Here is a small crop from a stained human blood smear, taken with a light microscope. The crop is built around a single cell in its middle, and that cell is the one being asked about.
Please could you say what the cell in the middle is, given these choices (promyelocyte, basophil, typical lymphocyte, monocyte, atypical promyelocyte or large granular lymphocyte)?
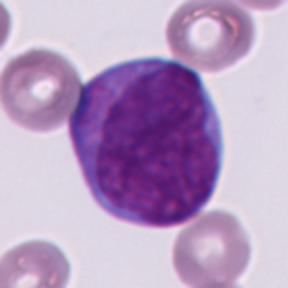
atypical promyelocyte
